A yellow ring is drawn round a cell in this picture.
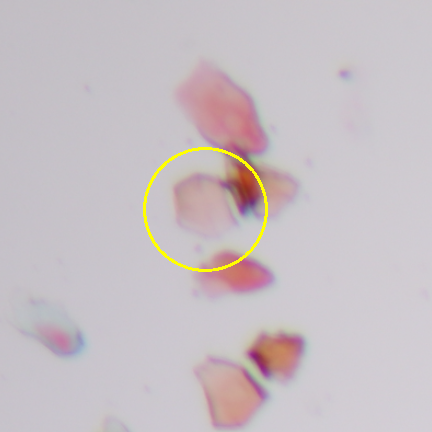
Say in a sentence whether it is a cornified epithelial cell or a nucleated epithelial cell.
The cell in the ring is a cornified epithelial cell.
